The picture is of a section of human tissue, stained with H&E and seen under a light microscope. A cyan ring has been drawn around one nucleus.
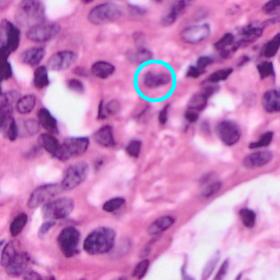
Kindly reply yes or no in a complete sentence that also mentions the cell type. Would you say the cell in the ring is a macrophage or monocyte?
Yes, the cell in the ring is recognized as a macrophage or monocyte in this section.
